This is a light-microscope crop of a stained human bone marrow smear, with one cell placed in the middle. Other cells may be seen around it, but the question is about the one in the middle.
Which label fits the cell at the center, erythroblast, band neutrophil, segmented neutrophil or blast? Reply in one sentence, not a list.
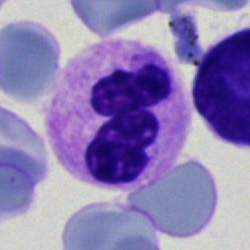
In this smear crop, the middle cell is a segmented neutrophil.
